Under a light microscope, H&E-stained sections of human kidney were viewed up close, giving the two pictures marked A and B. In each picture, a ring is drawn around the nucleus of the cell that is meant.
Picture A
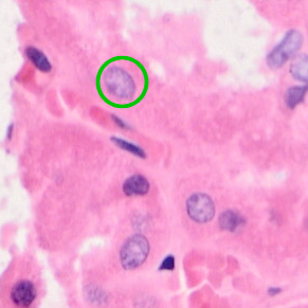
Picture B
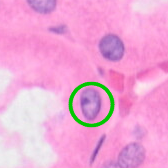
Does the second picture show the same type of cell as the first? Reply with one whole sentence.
Yes, both are proximal tubule cells.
